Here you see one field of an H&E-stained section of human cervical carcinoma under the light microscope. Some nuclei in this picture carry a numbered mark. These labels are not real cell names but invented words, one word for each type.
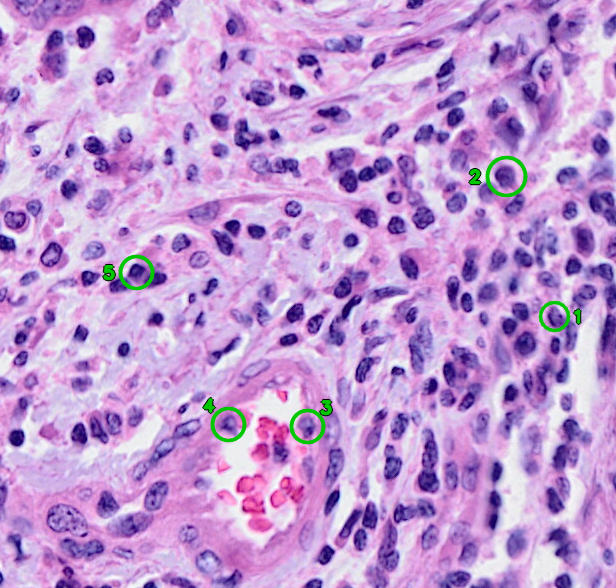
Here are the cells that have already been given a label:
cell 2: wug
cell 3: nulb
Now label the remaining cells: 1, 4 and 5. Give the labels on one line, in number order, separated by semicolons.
wug; nulb; wug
